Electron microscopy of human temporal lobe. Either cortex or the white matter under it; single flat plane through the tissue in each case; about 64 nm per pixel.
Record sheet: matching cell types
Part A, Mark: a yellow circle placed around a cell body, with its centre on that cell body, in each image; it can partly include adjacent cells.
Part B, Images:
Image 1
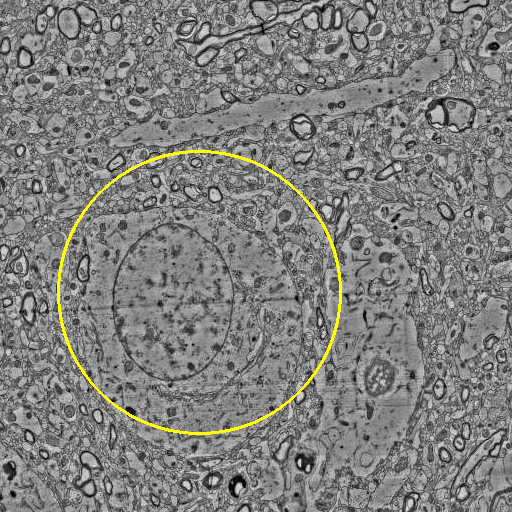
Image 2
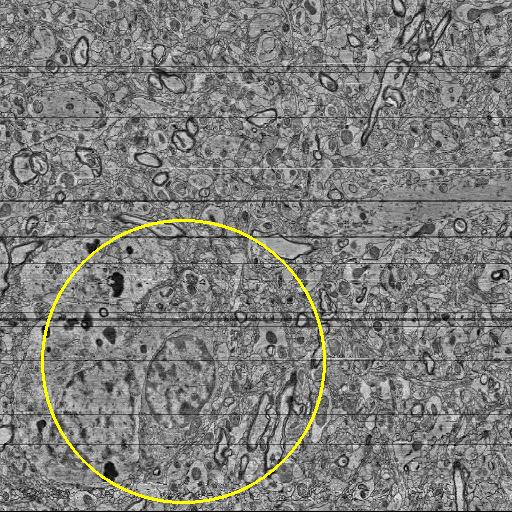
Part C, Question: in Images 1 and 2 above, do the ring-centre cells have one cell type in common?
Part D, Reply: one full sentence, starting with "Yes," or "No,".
No, the ring-centre cells of Image 1 and Image 2 are each of a separate cell type.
